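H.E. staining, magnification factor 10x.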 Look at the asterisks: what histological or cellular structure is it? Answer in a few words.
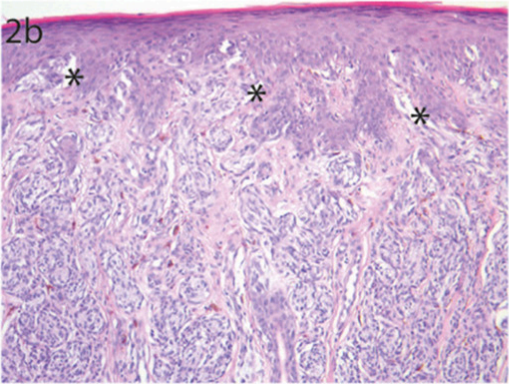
Epidermal junctional clefts.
